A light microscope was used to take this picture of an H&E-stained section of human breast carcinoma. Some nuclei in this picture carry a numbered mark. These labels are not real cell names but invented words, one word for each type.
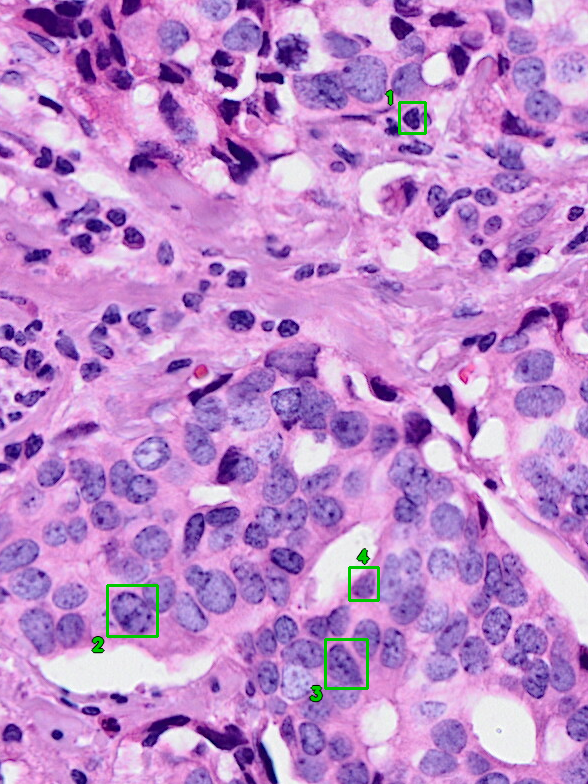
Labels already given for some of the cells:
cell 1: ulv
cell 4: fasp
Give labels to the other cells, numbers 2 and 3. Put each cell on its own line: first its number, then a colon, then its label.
2: fasp
3: fasp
